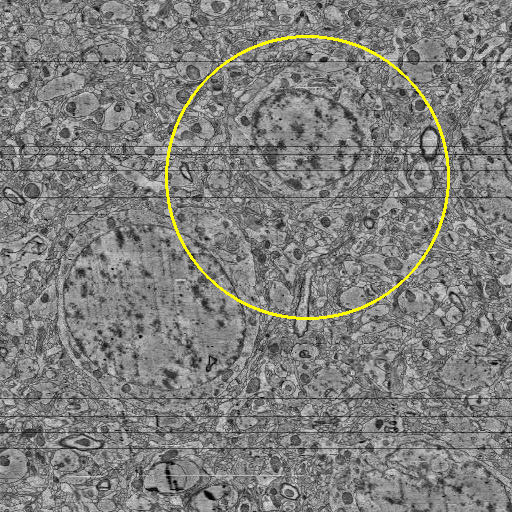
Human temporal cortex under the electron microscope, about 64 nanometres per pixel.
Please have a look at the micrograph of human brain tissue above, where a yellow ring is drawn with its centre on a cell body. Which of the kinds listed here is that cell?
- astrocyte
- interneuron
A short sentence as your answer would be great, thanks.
At the centre of the ring sits an interneuron.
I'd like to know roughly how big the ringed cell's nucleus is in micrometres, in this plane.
In this plane, about 7 micrometres in length and 6 in width.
